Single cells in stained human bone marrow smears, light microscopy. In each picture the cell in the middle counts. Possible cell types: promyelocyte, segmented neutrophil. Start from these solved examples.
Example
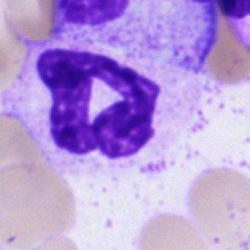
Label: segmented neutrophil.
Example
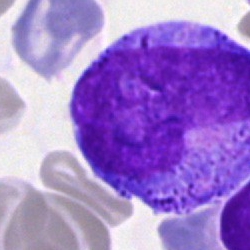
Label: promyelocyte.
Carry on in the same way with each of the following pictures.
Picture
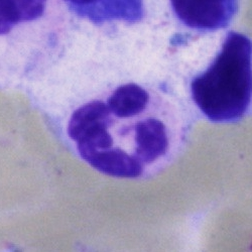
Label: segmented neutrophil.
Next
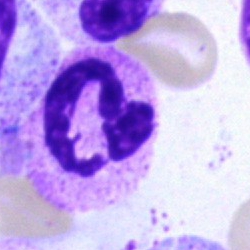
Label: segmented neutrophil.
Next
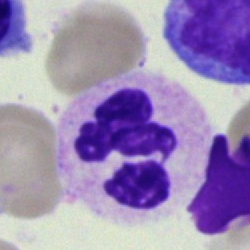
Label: segmented neutrophil.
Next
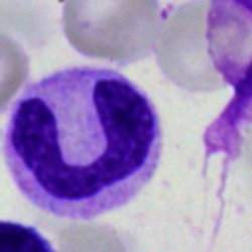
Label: segmented neutrophil.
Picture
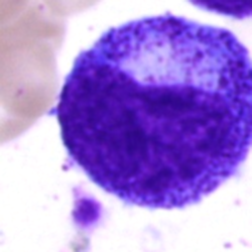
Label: promyelocyte.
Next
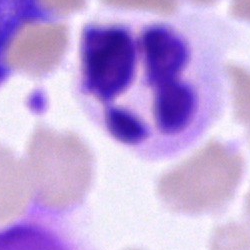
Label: segmented neutrophil.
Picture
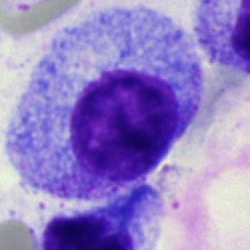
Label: promyelocyte.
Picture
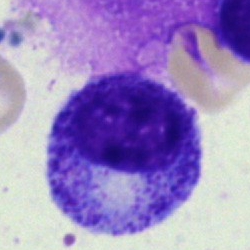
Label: promyelocyte.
